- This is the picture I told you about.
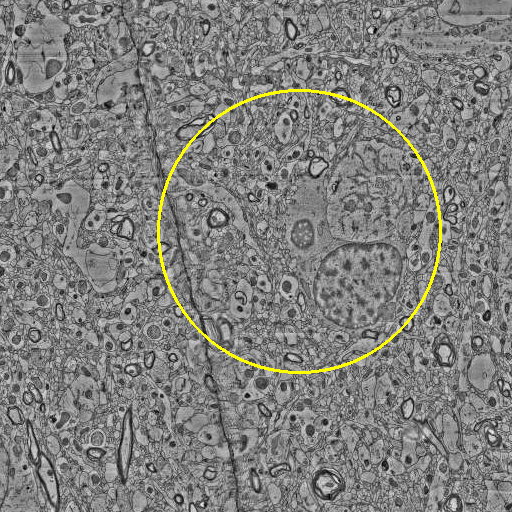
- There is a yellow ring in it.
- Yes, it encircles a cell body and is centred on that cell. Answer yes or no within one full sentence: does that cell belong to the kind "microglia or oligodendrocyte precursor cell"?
No, the cell on which the yellow ring is centred belongs to a different kind.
